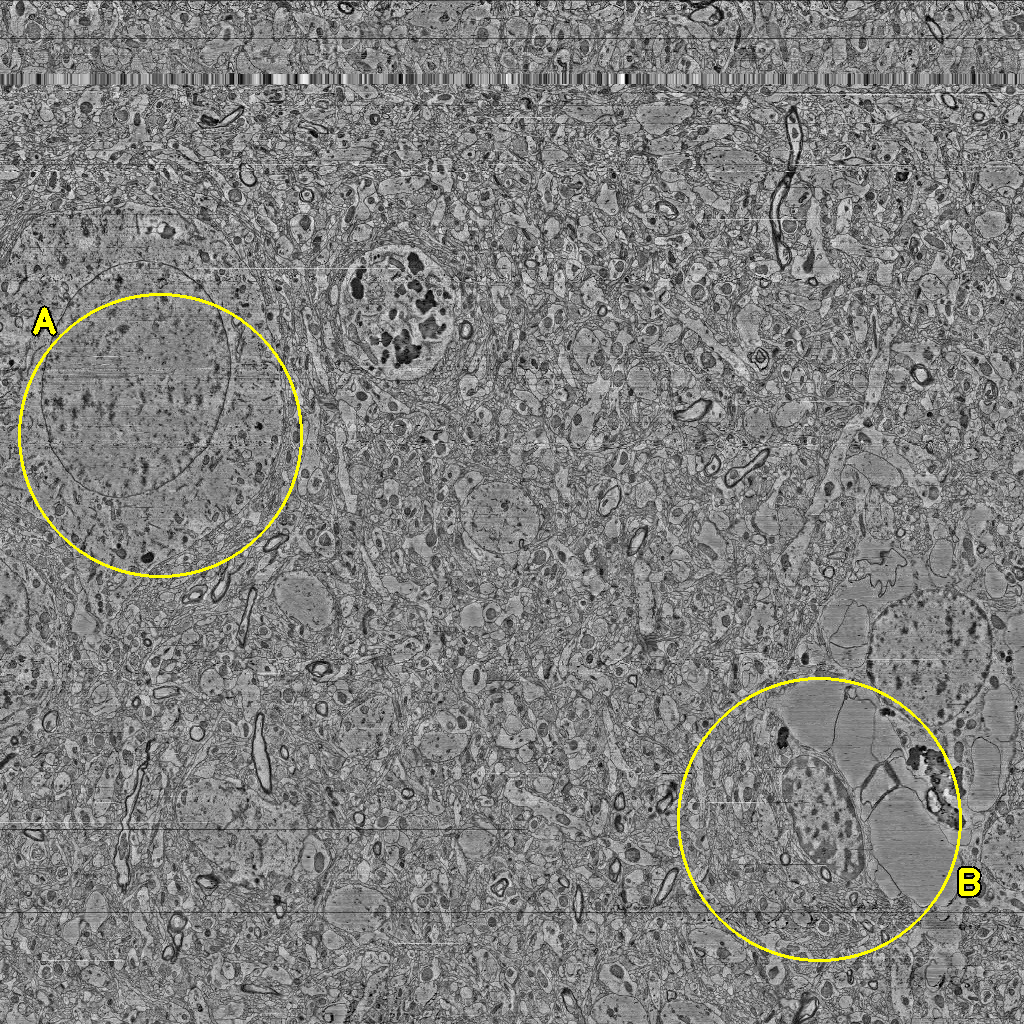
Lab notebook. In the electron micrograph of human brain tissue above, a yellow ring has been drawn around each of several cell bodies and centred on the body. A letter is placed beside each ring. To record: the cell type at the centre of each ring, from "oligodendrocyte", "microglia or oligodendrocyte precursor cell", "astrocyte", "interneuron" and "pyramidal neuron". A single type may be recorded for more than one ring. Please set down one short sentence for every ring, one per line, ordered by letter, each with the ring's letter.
The centre of ring A is occupied by a pyramidal neuron.
The centre of ring B is occupied by a microglial cell or oligodendrocyte precursor cell.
